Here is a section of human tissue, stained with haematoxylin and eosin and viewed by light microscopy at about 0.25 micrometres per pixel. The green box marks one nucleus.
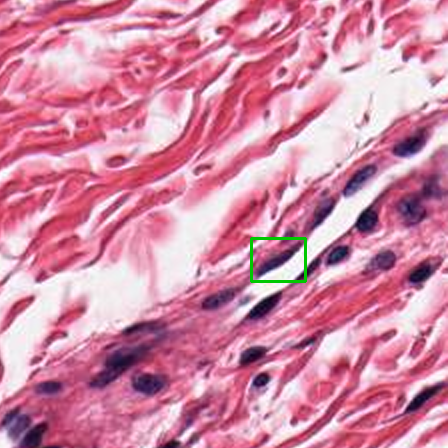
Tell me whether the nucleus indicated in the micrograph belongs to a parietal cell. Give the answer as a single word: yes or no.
no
